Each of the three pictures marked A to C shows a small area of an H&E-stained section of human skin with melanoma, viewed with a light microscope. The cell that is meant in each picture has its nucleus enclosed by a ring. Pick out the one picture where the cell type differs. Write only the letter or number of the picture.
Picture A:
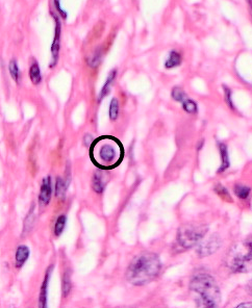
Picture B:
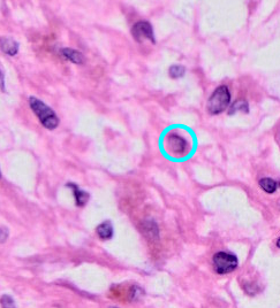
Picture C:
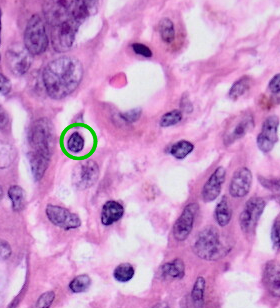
B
